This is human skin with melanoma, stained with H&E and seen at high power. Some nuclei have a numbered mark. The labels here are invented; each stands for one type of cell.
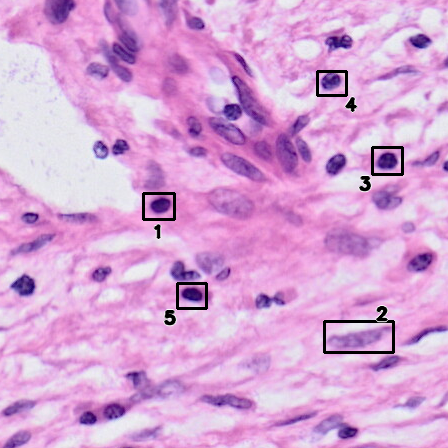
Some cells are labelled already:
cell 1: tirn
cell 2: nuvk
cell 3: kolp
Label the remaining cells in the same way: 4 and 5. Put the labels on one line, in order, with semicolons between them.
tirn; kolp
